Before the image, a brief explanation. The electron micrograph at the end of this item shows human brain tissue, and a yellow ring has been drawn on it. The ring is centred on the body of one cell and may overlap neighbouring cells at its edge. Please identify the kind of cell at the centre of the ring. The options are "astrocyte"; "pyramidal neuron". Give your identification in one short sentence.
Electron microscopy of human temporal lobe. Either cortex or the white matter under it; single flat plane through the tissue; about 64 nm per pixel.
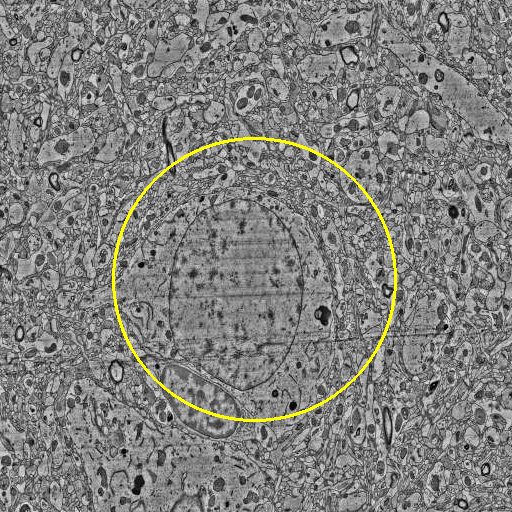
The ring has been placed around a pyramidal neuron.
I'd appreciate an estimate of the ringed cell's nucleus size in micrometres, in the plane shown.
The nucleus of the ringed cell is clearly longer than it is wide in this plane, about 15 by 8 micrometres.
